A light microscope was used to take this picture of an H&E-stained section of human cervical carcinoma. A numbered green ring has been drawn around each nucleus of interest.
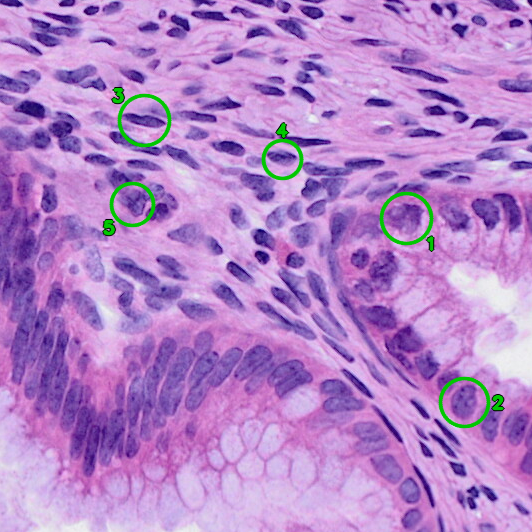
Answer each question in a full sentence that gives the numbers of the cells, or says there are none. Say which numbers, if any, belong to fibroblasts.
The cells that bear the numbers 3 and 4 are fibroblasts.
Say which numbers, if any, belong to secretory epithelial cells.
Each of the cells numbered 1 and 2 is among the secretory epithelial cells.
